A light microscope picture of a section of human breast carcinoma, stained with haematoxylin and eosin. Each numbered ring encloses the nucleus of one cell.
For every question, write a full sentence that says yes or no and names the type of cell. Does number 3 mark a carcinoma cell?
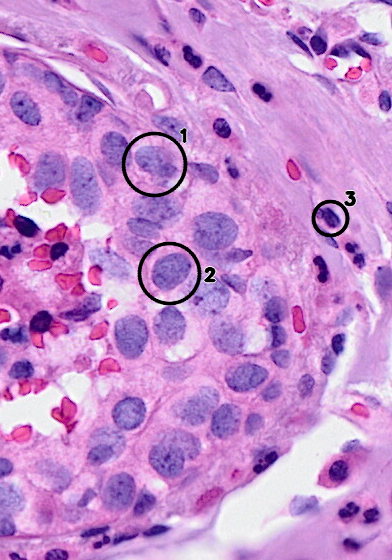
No, as for cell 3, it is a lymphocyte and not a carcinoma cell.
